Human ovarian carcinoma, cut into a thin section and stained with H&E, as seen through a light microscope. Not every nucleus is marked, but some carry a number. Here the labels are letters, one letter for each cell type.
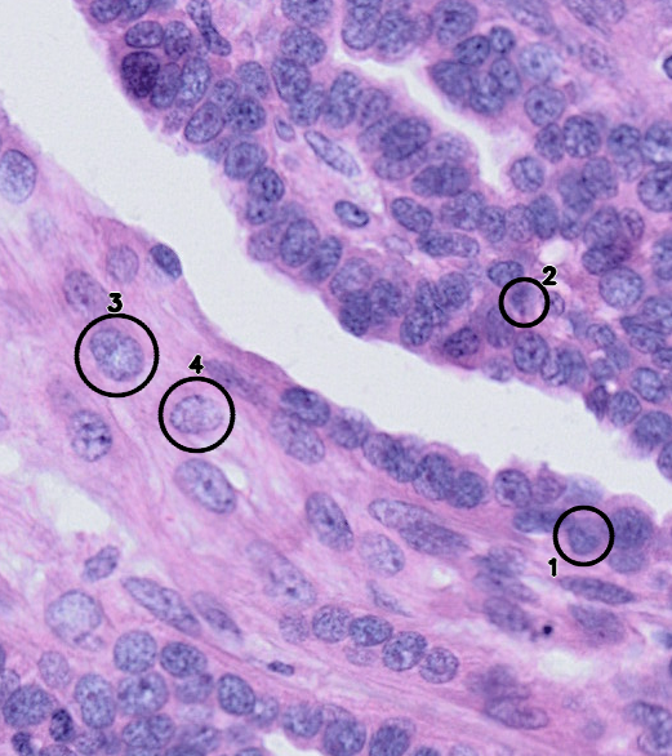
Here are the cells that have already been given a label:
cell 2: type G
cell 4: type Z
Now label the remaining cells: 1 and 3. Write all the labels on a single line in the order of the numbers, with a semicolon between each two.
type G; type Z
